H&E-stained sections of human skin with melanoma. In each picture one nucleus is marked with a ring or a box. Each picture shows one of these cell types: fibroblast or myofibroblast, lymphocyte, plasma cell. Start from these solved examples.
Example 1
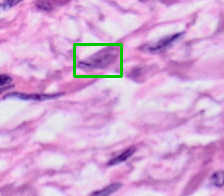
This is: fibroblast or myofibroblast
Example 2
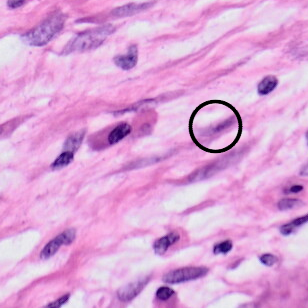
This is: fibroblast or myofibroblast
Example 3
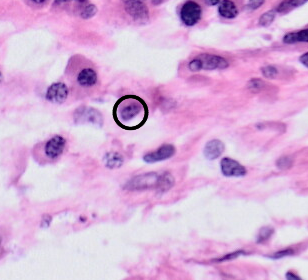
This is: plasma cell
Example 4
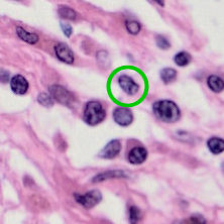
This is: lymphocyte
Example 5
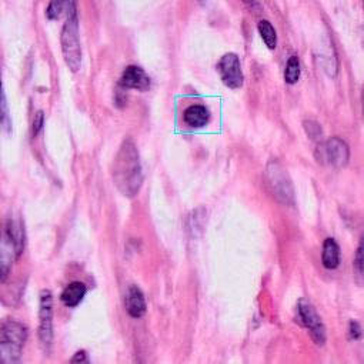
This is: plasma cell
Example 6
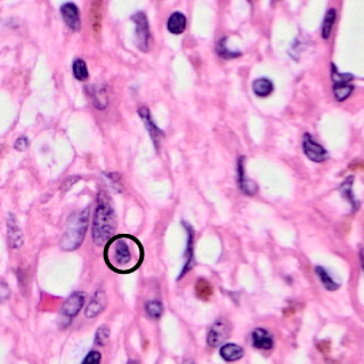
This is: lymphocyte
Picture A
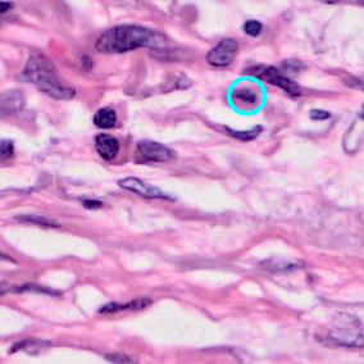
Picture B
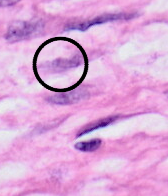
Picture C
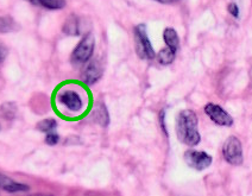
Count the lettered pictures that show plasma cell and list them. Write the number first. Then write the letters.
1, namely A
